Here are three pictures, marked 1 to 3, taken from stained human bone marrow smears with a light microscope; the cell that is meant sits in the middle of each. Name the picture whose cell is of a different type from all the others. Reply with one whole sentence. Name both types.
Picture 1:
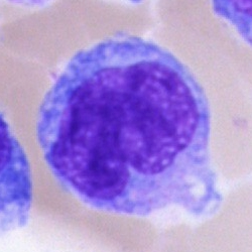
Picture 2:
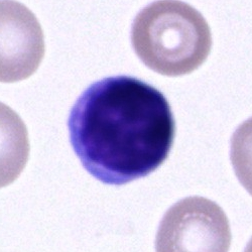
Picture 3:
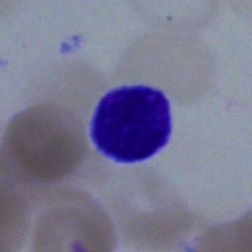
Picture 1 differs, because its cell is a monocyte and the rest are lymphocytes.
